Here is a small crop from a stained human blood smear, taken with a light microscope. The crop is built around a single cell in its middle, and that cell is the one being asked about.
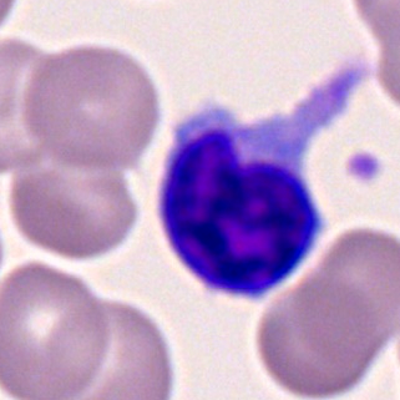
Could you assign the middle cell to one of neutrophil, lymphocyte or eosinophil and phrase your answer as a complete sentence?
Regarding the central cell, it is a lymphocyte.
